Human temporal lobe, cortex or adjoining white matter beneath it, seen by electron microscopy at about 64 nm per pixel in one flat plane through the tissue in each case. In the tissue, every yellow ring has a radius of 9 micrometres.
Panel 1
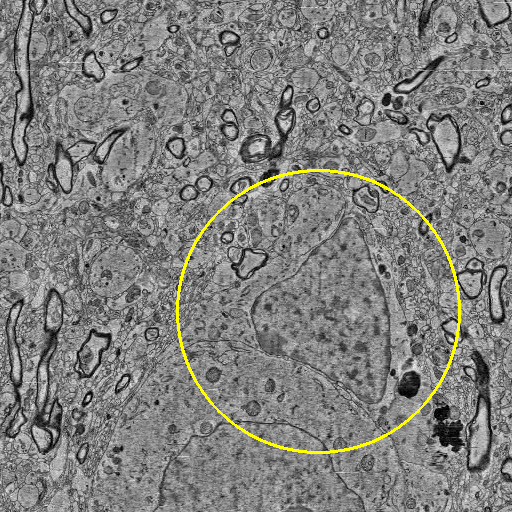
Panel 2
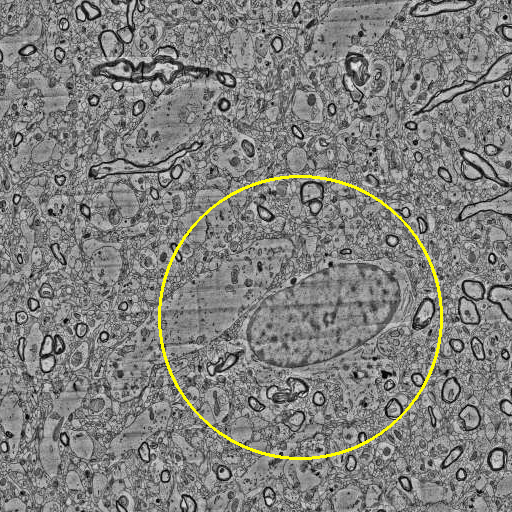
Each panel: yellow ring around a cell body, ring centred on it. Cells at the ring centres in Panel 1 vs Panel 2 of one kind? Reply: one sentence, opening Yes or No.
Yes, Panel 1 and Panel 2 have cells of one kind at the ring centres.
